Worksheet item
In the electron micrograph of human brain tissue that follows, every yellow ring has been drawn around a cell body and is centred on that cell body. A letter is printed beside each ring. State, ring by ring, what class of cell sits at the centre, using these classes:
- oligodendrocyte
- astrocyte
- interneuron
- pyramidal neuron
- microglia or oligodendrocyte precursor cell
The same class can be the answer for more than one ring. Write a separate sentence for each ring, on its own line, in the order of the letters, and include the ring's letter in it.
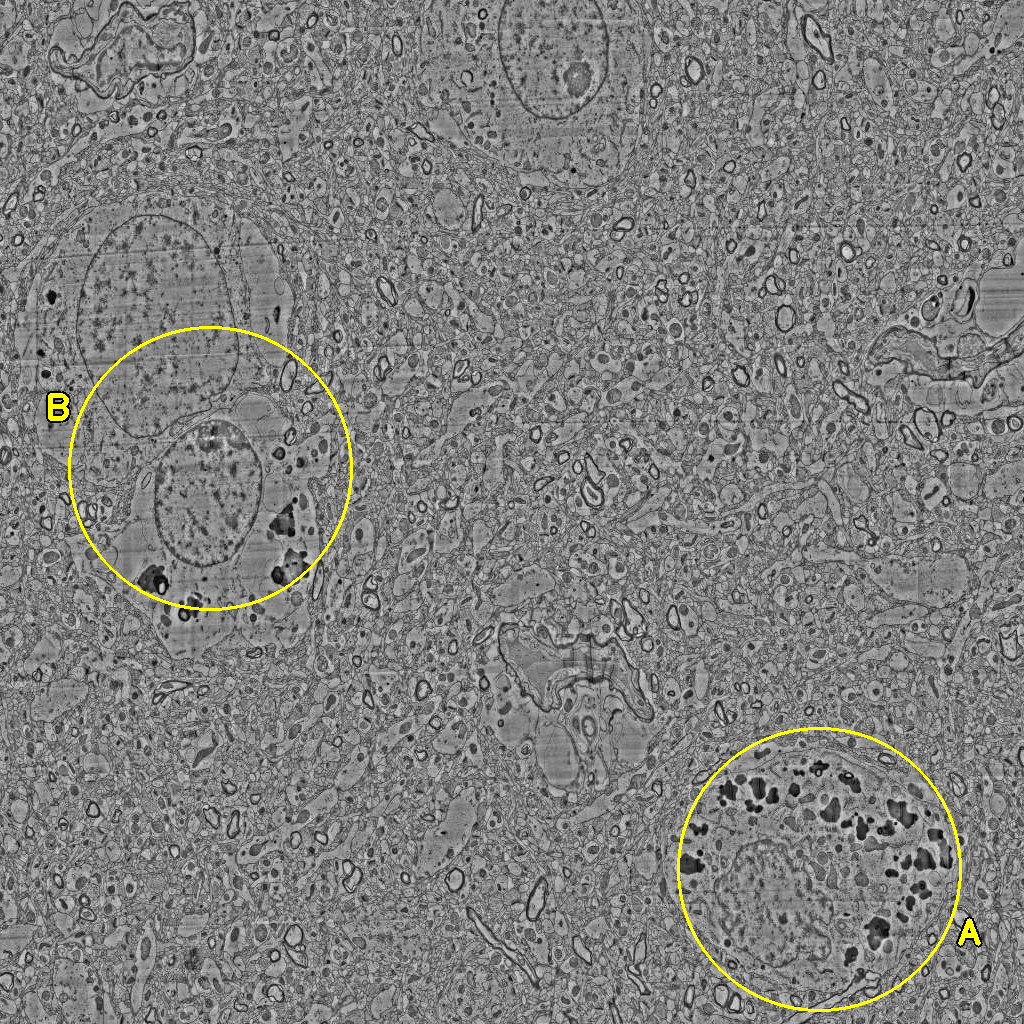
At the centre of ring A sits an interneuron.
At the centre of ring B sits an astrocyte.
